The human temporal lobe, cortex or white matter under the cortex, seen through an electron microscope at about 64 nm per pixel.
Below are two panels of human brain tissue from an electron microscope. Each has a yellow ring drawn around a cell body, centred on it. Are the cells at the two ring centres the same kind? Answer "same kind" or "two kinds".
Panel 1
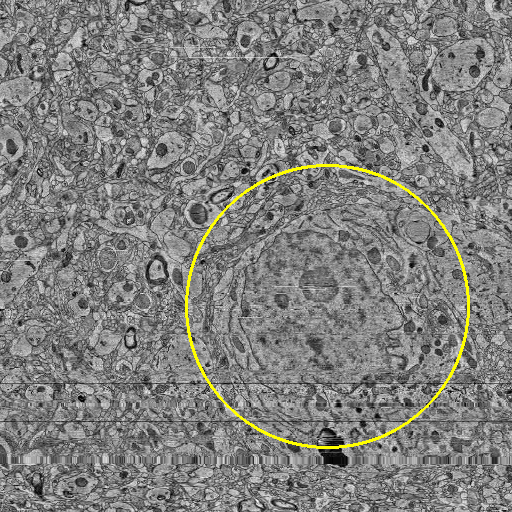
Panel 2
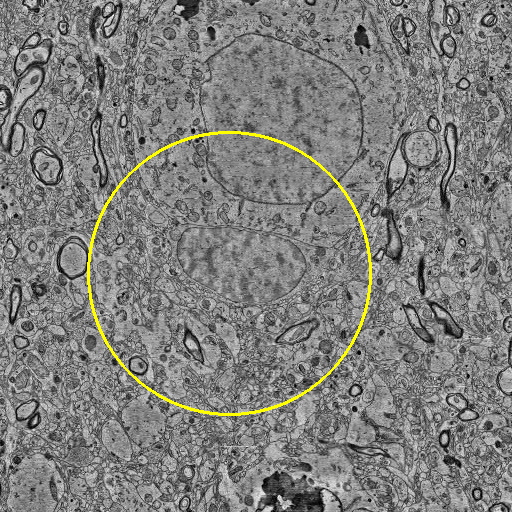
two kinds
